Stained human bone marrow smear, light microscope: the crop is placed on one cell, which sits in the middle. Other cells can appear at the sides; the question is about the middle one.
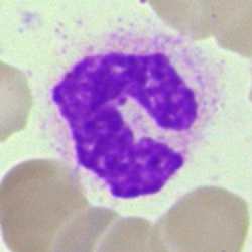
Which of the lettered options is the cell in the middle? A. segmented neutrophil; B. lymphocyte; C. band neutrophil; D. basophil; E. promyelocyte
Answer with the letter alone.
C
